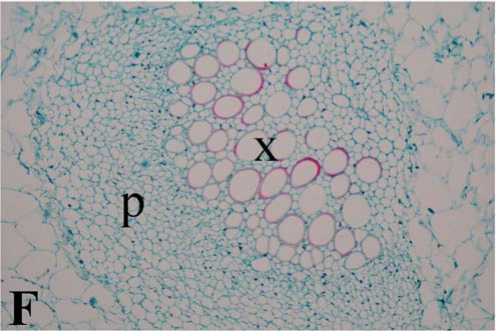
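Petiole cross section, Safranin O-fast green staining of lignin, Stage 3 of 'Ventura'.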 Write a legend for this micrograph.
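A rounded vascular bundle lies embedded in large, thin-walled, pale green ground parenchyma cells. At its centre sit a cluster of wide, round to oval conducting cells with clear lumens. Several of them have walls stained pink to red, while the surrounding smaller cells stain only green. To one side is a zone of many small, densely packed, thin-walled cells stained blue-green. The small-celled tissue beside them is phloem.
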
